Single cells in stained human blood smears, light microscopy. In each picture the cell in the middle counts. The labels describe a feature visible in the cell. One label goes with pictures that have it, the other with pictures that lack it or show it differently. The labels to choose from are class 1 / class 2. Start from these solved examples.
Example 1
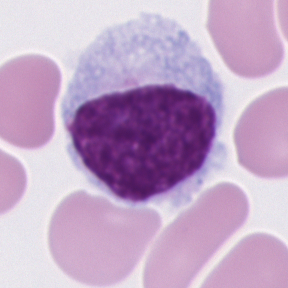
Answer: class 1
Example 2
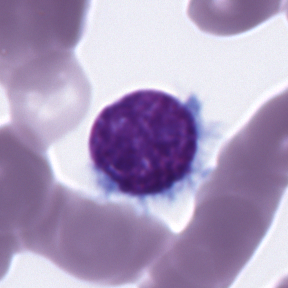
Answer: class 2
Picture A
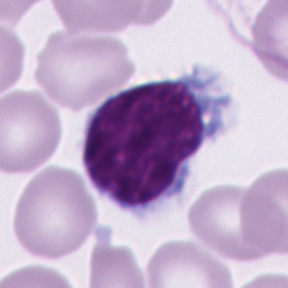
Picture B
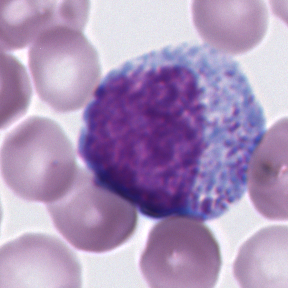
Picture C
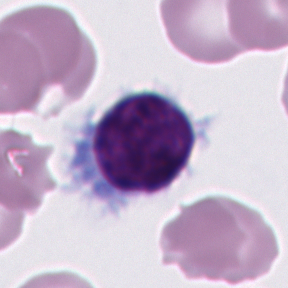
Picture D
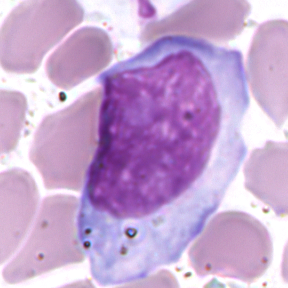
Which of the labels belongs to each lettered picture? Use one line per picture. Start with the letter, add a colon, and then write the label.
A: class 2
B: class 1
C: class 2
D: class 1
